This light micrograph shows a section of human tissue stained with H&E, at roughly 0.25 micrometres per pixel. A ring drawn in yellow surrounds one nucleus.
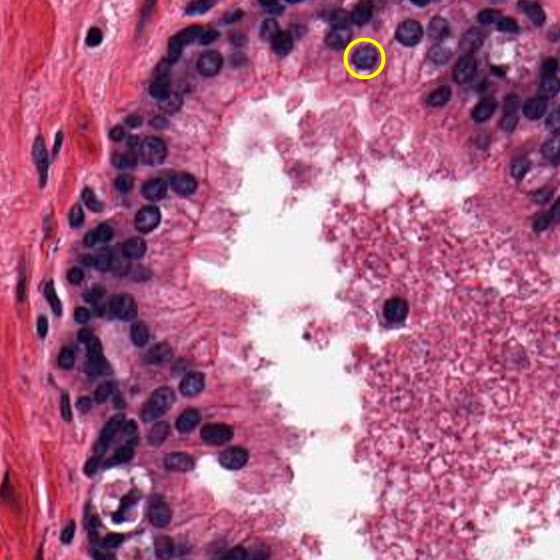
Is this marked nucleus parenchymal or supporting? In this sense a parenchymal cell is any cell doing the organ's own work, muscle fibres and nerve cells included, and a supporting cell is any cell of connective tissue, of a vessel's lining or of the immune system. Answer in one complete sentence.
Belonging to a parenchymal cell, the marked nucleus is that of a prostate gland luminal cell.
